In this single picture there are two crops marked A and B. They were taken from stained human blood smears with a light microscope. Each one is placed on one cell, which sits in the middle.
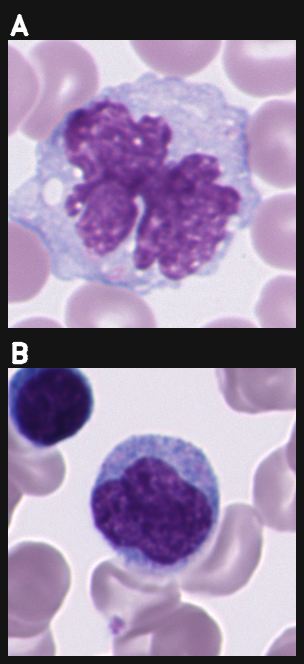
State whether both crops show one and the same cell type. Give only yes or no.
yes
